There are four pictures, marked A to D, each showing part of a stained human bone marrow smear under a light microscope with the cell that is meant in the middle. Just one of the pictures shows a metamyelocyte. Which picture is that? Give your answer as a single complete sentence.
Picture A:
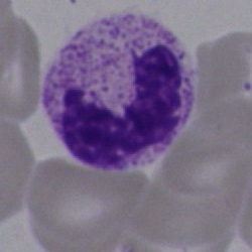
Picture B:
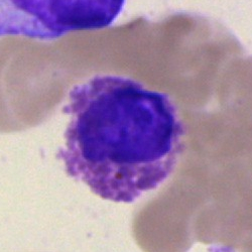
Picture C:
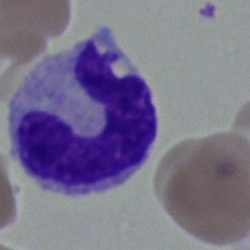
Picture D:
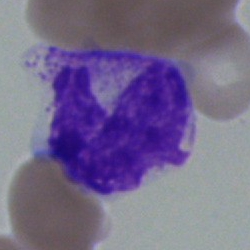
The metamyelocyte is the one in picture D.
